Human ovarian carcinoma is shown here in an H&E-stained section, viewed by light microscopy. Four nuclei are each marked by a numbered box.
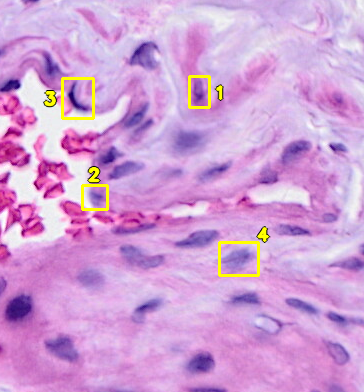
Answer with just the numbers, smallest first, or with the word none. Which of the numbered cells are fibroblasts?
4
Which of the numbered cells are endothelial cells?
2, 3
